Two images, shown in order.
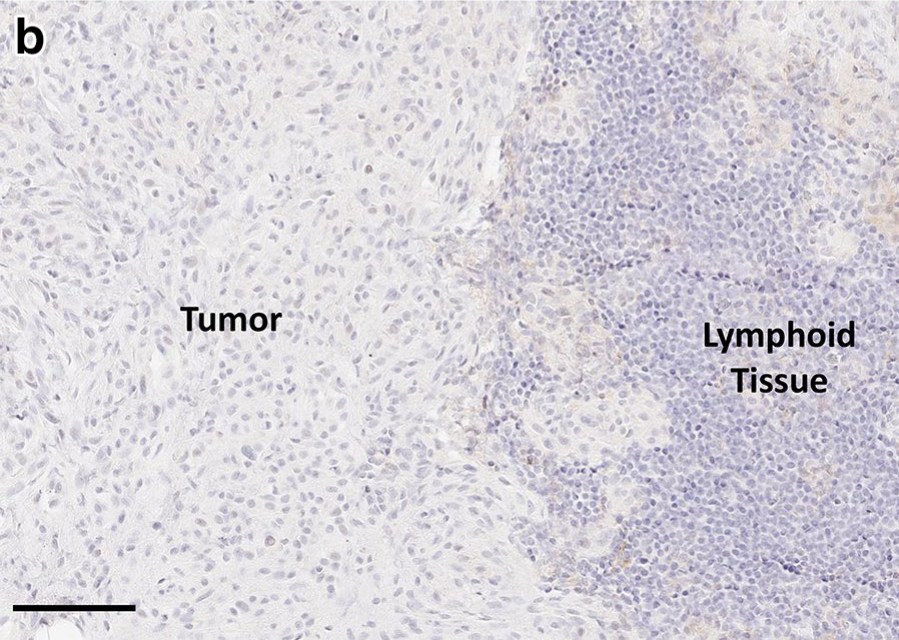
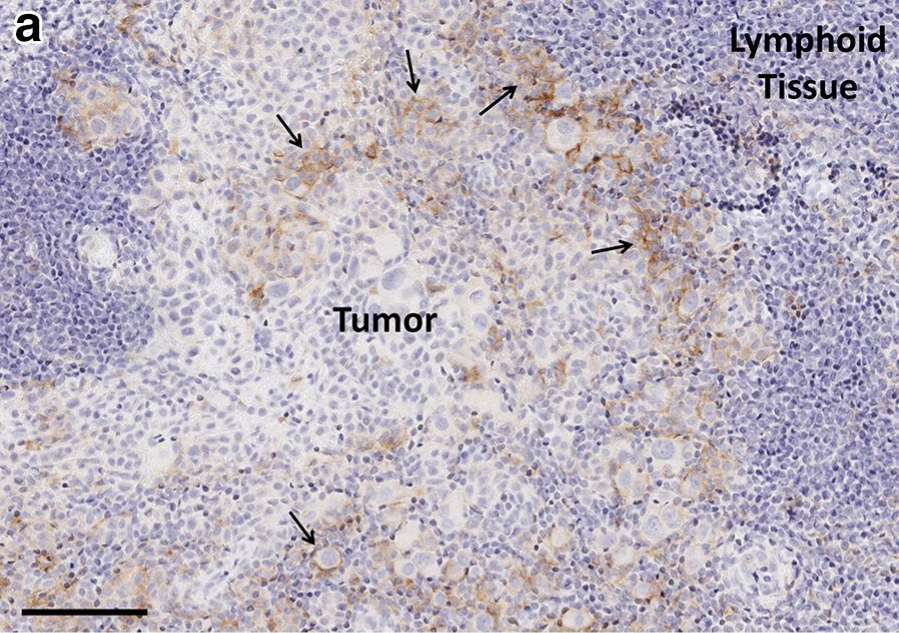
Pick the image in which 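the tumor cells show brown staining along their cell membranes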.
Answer: The second image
